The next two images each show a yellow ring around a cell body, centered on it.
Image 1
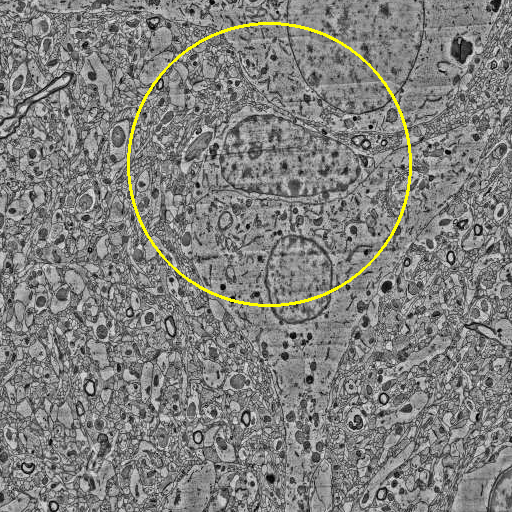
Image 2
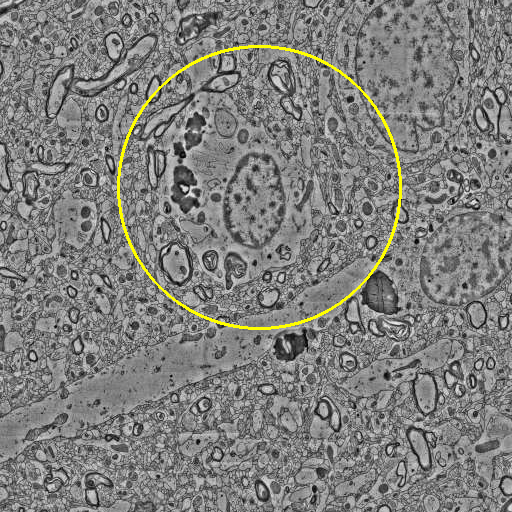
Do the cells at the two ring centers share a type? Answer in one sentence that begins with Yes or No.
No, across the two images the cells at the ring centers are of two types.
